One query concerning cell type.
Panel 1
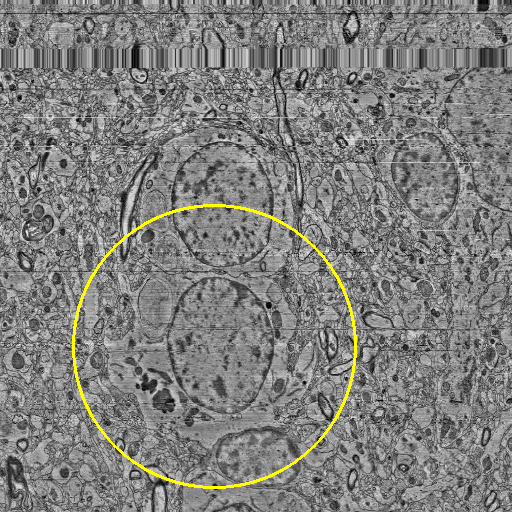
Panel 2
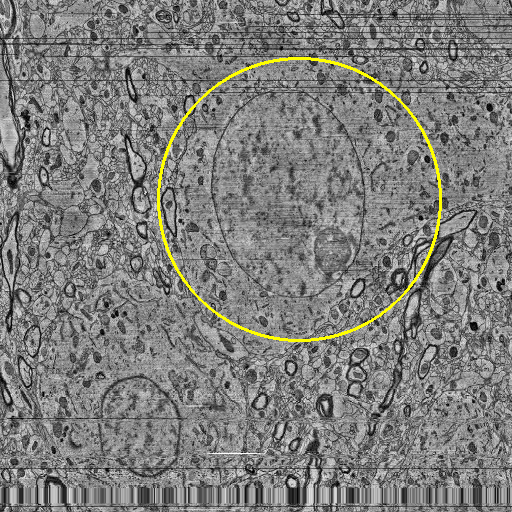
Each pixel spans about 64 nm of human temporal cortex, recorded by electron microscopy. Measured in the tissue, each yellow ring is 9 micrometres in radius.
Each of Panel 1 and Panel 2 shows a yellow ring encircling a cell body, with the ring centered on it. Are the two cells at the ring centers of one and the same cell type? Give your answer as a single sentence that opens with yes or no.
No, the cell centered in Panel 1 and the one in Panel 2 are of two types.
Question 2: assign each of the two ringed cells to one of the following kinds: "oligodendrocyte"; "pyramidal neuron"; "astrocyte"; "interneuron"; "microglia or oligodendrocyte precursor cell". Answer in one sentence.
The two cells are an astrocyte in the first picture and a pyramidal neuron in the second.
